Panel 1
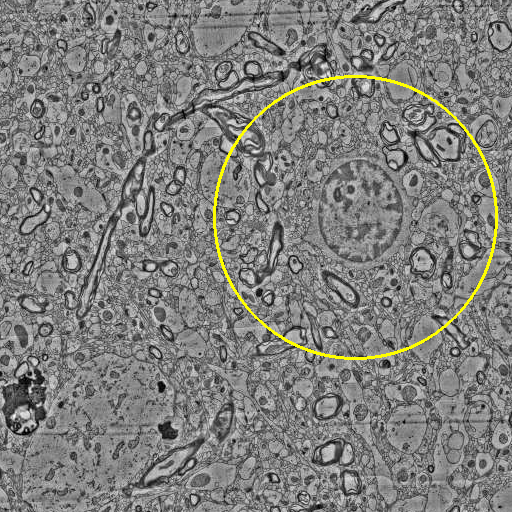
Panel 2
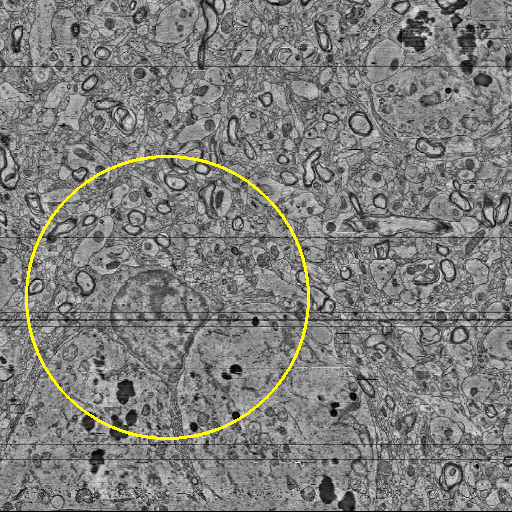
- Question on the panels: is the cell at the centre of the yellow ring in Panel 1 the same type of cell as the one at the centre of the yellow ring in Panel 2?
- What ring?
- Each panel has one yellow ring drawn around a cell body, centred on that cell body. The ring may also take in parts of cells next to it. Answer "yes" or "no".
yes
